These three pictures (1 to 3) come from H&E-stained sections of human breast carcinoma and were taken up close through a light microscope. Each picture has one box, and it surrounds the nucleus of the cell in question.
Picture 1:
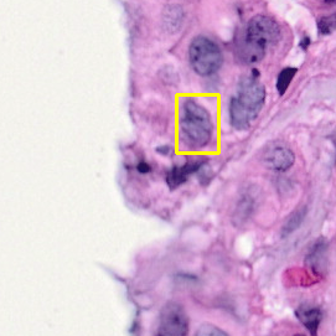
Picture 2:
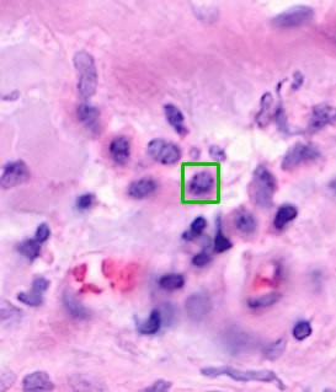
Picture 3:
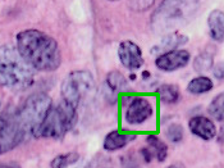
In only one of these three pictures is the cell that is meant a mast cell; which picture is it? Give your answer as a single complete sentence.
The picture with the mast cell is 2.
